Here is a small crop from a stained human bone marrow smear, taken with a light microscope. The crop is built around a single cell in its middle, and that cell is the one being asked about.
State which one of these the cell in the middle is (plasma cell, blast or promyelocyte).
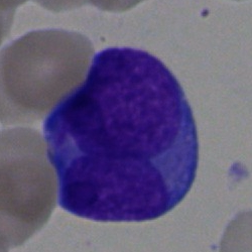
blast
